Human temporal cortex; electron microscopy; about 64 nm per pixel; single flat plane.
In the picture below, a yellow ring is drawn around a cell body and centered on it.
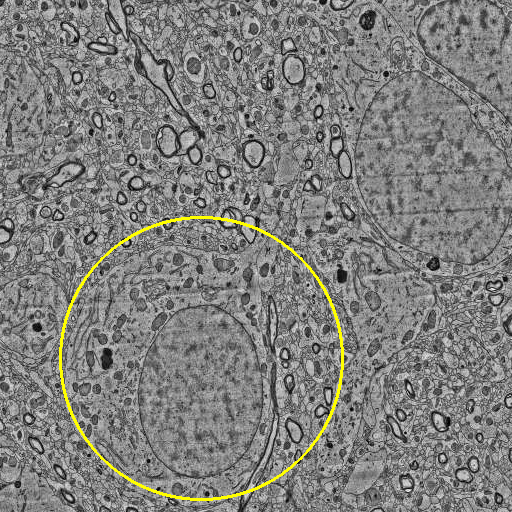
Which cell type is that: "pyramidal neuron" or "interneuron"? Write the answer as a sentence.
The cell centered in the ring is an interneuron.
